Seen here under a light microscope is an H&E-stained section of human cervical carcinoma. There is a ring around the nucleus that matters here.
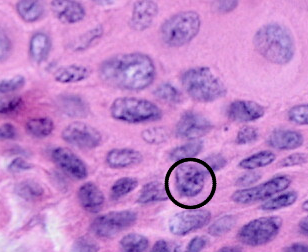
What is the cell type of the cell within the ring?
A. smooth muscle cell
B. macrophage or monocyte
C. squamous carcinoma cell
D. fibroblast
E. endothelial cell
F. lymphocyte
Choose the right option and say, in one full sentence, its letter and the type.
Option C properly identifies the cell within the ring as a squamous carcinoma cell.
